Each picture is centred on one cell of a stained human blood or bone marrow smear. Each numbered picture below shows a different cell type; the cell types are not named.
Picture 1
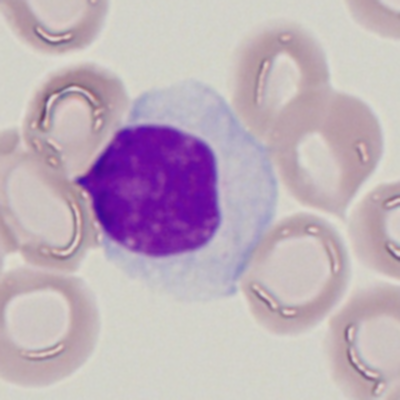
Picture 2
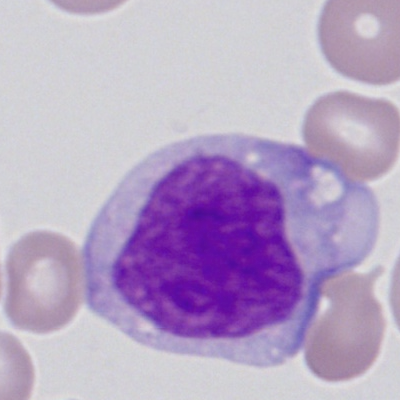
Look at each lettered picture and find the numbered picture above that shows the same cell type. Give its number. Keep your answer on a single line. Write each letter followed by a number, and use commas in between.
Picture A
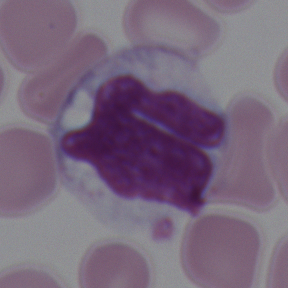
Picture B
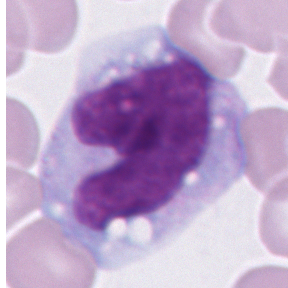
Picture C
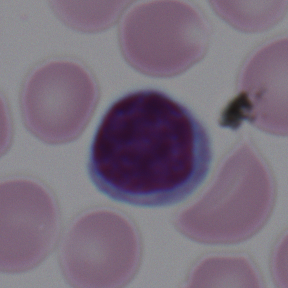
A 2, B 2, C 1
